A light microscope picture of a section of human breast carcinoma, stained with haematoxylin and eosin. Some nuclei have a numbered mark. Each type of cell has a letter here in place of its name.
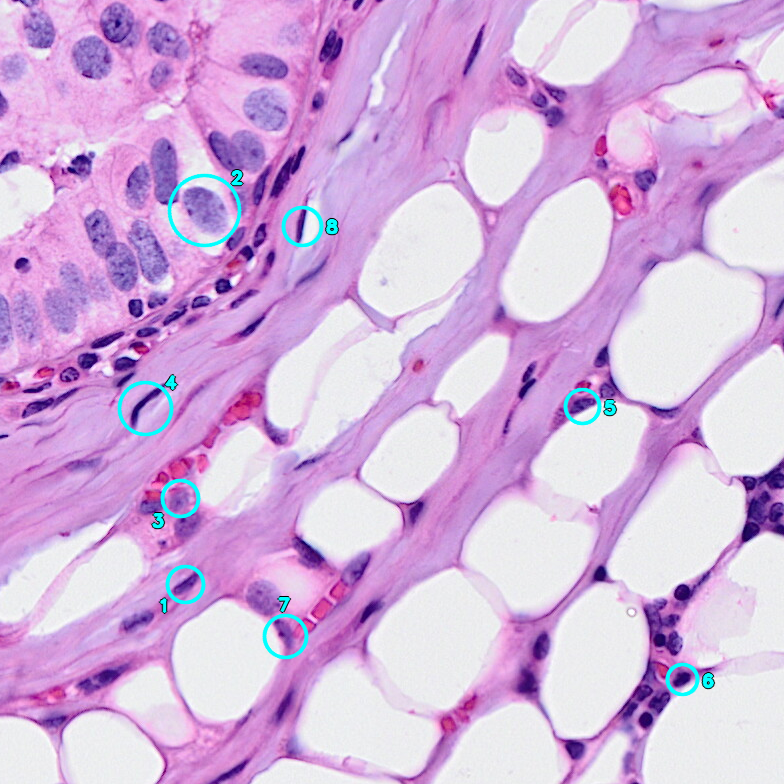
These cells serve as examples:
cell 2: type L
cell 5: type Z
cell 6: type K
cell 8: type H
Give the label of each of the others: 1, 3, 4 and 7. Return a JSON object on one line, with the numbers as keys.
{"1": "type H", "3": "type Z", "4": "type H", "7": "type Z"}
